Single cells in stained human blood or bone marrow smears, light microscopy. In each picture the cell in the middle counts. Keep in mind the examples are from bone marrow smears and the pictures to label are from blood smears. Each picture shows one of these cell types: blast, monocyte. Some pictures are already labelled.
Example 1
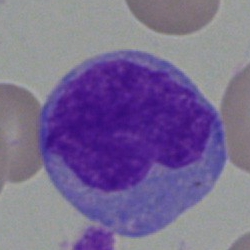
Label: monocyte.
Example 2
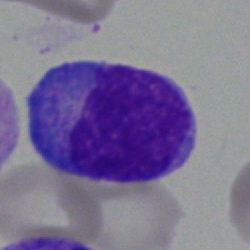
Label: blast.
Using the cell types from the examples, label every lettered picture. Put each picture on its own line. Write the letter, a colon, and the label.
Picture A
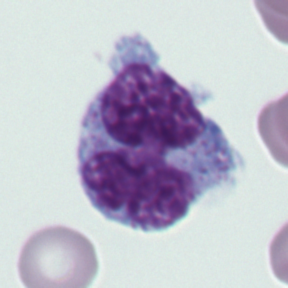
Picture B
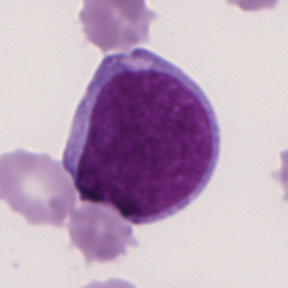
A: monocyte.
B: blast.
